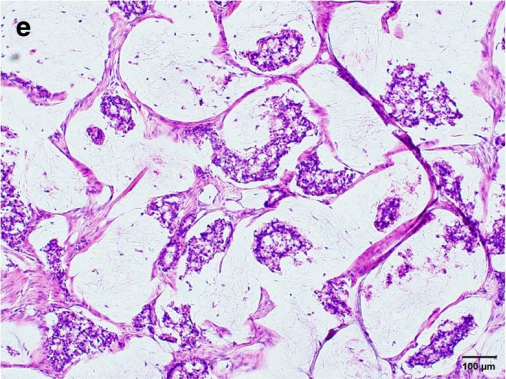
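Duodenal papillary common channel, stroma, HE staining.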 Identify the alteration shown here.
Mucinous carcinoma.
